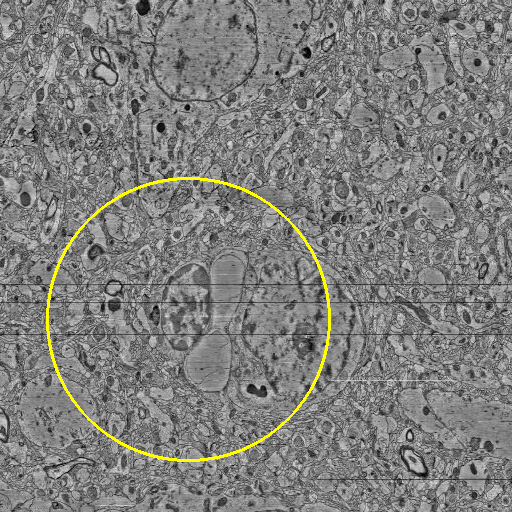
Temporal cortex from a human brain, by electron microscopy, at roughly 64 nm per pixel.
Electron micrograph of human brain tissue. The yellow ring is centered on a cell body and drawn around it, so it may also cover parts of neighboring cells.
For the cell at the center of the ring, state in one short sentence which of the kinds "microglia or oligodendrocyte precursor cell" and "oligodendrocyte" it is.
This ring is centered on a microglial cell or oligodendrocyte precursor cell.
